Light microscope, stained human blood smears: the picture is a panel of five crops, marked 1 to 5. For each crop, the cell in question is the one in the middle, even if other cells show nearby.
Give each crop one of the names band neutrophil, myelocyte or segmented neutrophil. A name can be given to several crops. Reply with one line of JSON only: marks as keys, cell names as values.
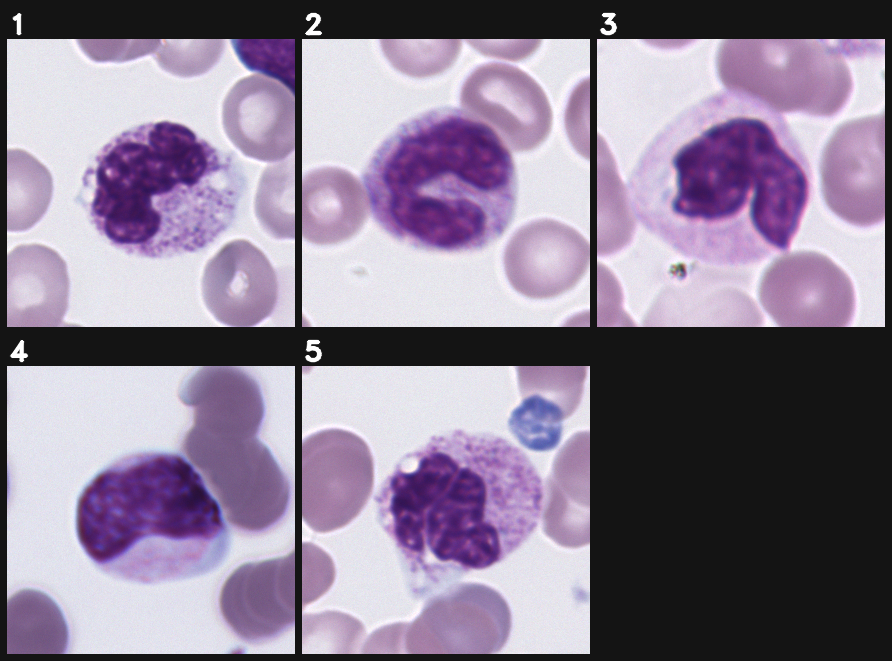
{"1": "segmented neutrophil", "2": "segmented neutrophil", "3": "band neutrophil", "4": "band neutrophil", "5": "segmented neutrophil"}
